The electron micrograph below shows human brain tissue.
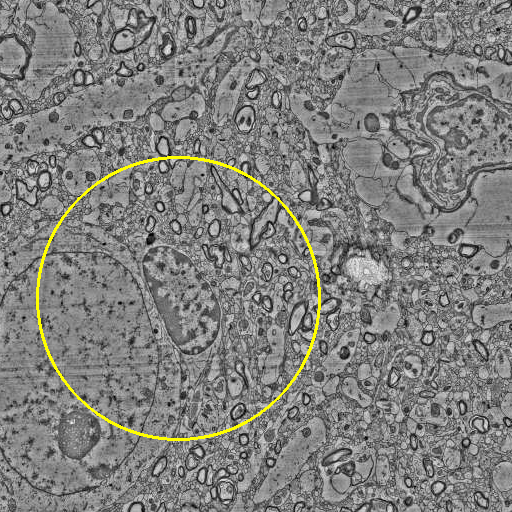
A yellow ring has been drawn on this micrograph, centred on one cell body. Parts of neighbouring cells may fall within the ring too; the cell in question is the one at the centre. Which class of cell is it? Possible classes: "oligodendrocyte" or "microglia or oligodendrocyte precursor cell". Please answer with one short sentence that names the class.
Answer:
In the centre of the ring sits a microglial cell or oligodendrocyte precursor cell.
